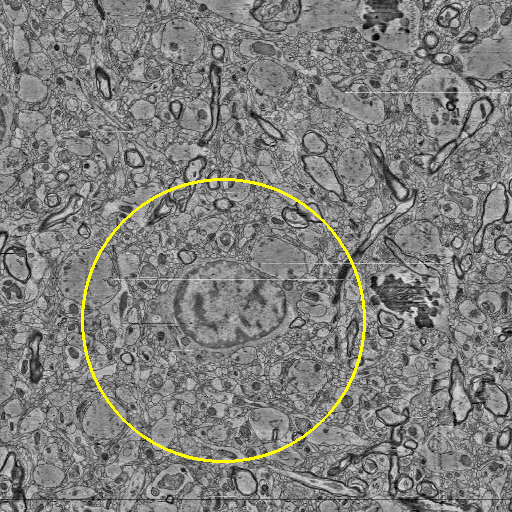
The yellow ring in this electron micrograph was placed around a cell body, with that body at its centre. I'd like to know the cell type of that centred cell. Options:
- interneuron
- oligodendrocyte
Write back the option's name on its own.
oligodendrocyte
